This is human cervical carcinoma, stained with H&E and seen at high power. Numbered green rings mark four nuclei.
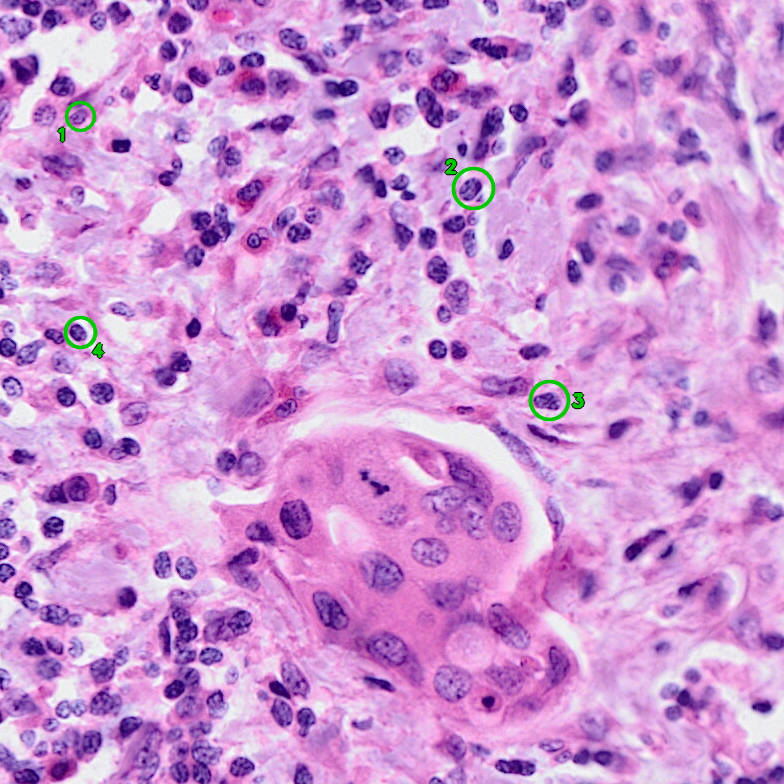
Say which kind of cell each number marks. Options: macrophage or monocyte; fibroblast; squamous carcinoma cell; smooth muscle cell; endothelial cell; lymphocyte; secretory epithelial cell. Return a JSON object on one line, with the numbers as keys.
{"1": "macrophage or monocyte", "2": "lymphocyte", "3": "lymphocyte", "4": "lymphocyte"}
